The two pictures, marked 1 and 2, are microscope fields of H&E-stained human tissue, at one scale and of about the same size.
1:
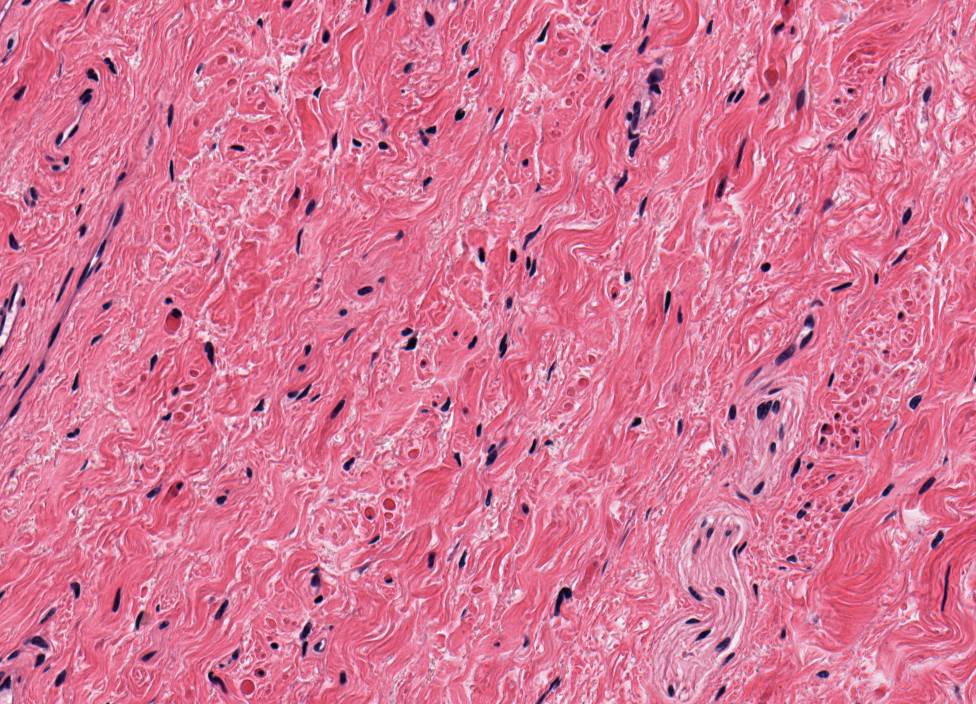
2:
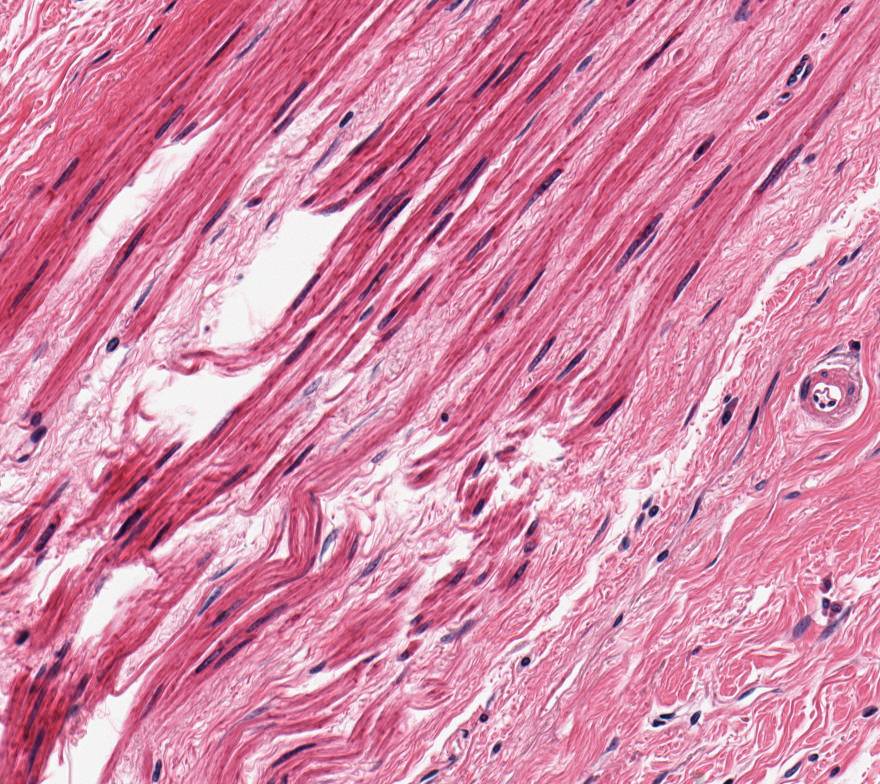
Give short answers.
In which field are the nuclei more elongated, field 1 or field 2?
2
